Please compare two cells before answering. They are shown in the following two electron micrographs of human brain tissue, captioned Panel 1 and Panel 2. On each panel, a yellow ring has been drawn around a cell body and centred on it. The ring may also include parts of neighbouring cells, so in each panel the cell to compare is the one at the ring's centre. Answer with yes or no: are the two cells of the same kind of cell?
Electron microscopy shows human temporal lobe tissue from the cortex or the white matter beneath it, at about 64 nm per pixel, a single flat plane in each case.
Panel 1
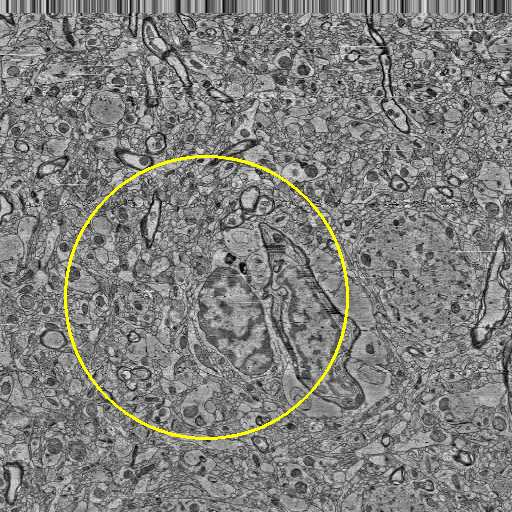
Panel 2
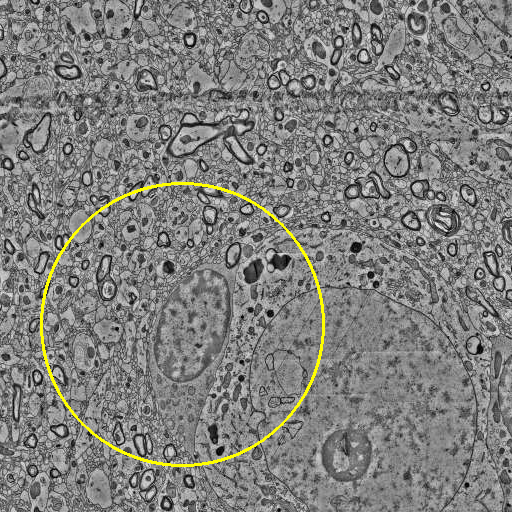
no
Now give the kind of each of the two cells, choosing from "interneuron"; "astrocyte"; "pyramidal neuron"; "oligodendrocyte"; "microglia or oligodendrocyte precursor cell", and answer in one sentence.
The cell in the first picture is a microglial cell or oligodendrocyte precursor cell, and the cell in the second is an oligodendrocyte.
